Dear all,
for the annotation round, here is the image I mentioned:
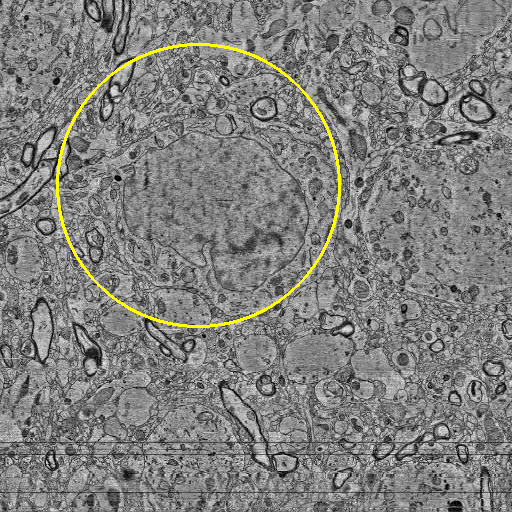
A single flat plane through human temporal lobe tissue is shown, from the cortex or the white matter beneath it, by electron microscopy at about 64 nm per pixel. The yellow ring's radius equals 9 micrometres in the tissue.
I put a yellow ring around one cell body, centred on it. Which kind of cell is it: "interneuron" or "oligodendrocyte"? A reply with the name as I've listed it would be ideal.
interneuron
